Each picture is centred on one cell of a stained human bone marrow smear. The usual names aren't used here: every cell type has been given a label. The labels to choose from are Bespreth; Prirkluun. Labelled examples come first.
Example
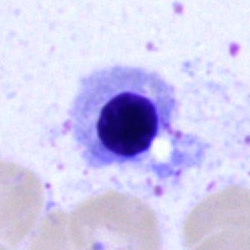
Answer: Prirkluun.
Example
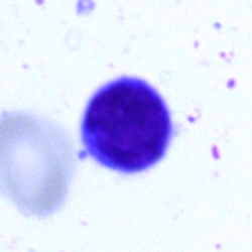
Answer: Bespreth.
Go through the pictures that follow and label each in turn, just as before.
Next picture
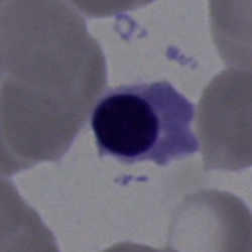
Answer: Prirkluun.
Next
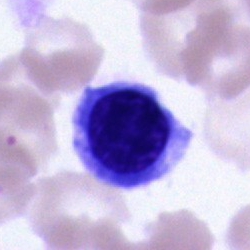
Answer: Prirkluun.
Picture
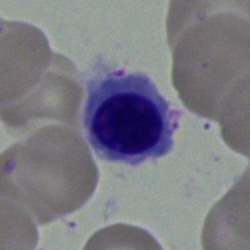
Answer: Prirkluun.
